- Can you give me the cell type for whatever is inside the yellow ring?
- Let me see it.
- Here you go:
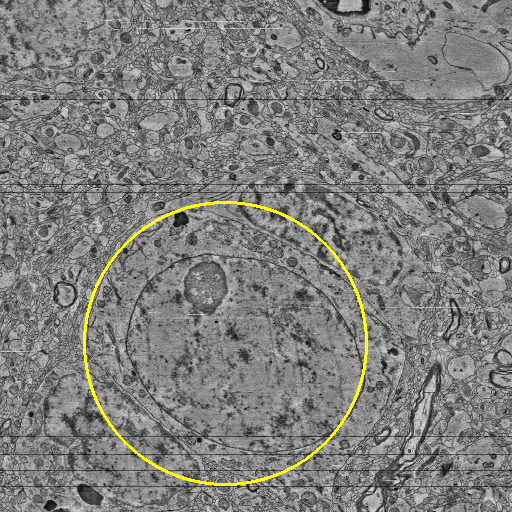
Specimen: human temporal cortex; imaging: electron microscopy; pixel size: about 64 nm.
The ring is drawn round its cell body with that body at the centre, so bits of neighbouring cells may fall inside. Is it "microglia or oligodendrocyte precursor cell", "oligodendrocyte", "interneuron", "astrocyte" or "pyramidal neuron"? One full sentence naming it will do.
The cell body in the middle of the ring in this picture belongs to a pyramidal neuron.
